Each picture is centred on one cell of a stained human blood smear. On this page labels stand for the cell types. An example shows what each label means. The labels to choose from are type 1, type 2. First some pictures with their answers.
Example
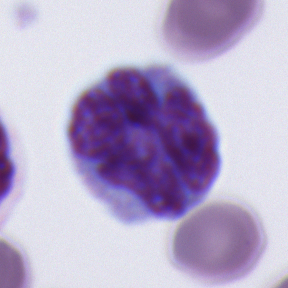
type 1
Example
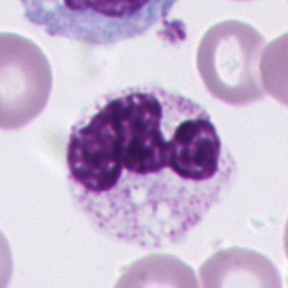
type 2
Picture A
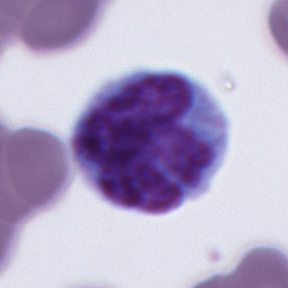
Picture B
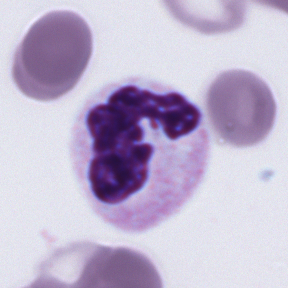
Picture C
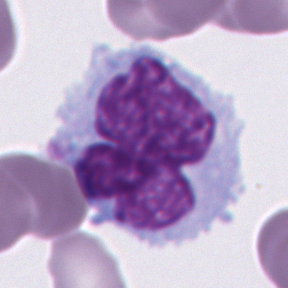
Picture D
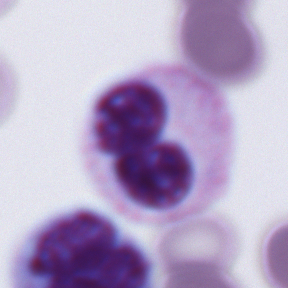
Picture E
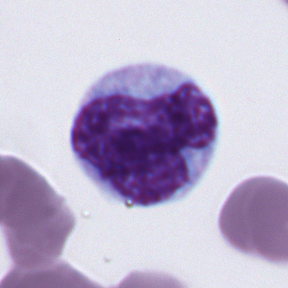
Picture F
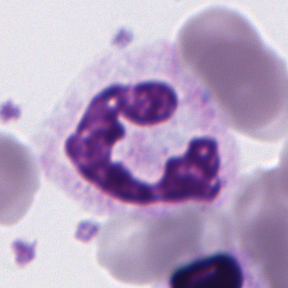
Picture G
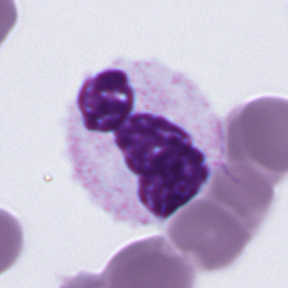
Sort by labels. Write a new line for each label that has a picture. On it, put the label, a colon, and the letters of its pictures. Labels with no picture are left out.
type 1: A, C, E
type 2: B, D, F, G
